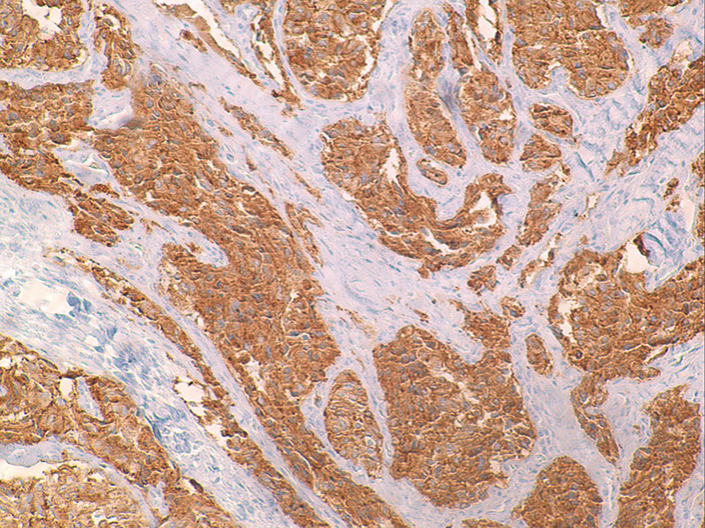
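This is a tumor made of fairly uniform epithelial cells arranged in nests, trabeculae and anastomosing cords. The tumor cells show diffuse, strong brown staining of their cytoplasm, so the nests appear solidly brown. The nests are separated by bands of fibrous stroma, which stay pale with scattered blue-counterstained spindle-shaped nuclei. Small clefts and spaces appear at the edges of some nests.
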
